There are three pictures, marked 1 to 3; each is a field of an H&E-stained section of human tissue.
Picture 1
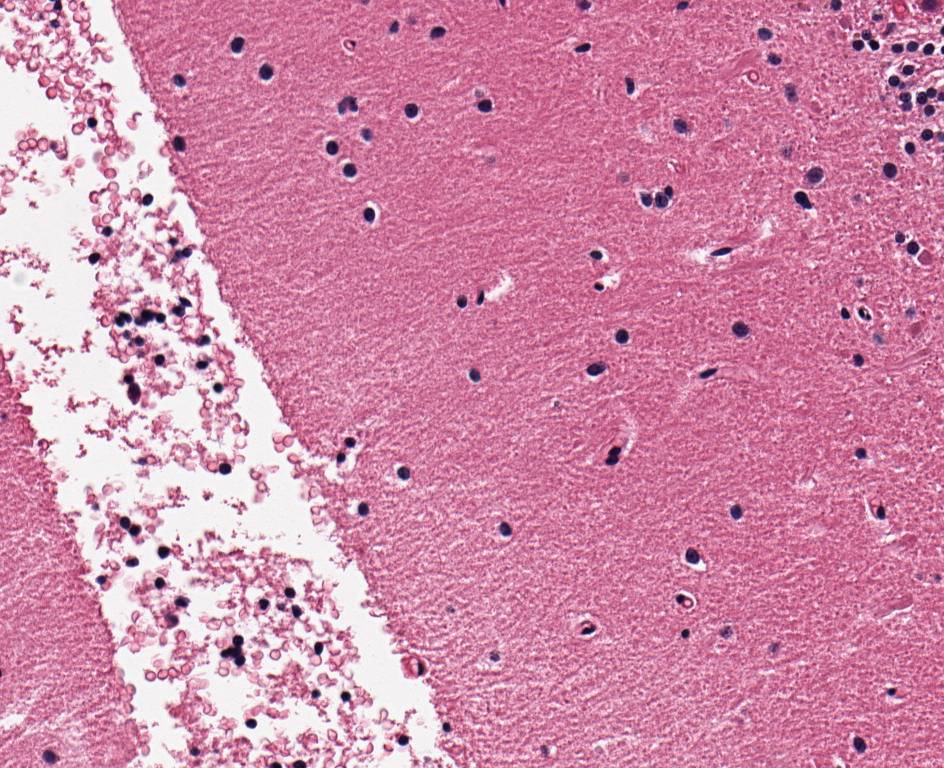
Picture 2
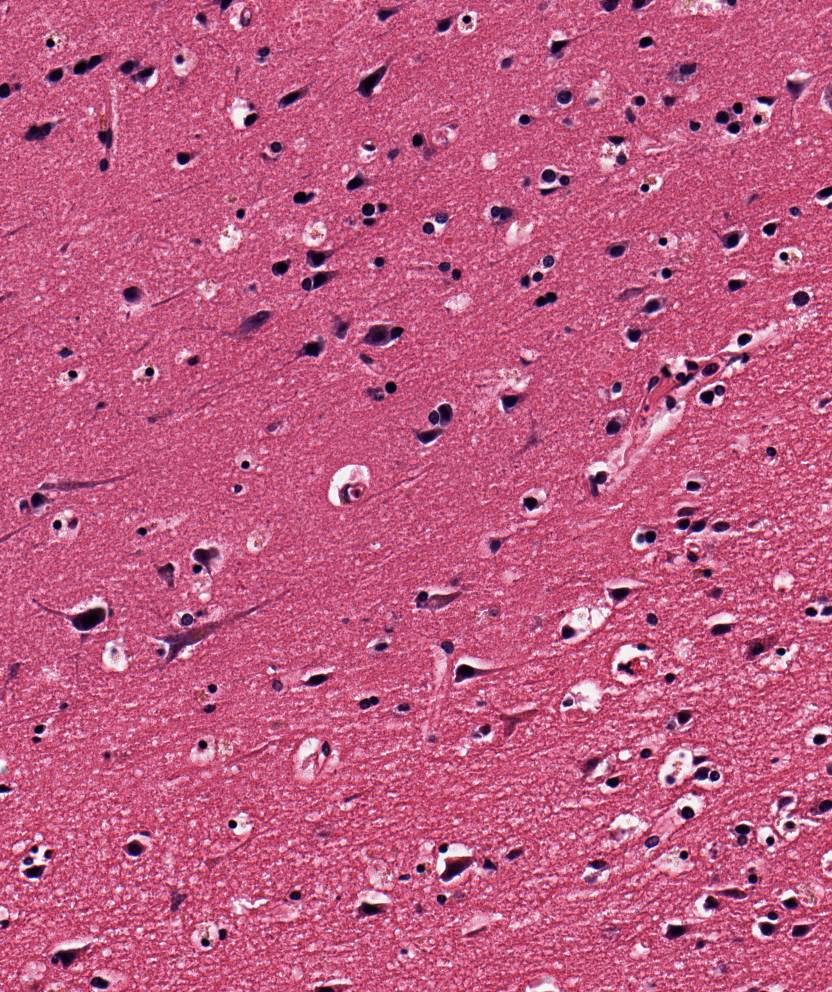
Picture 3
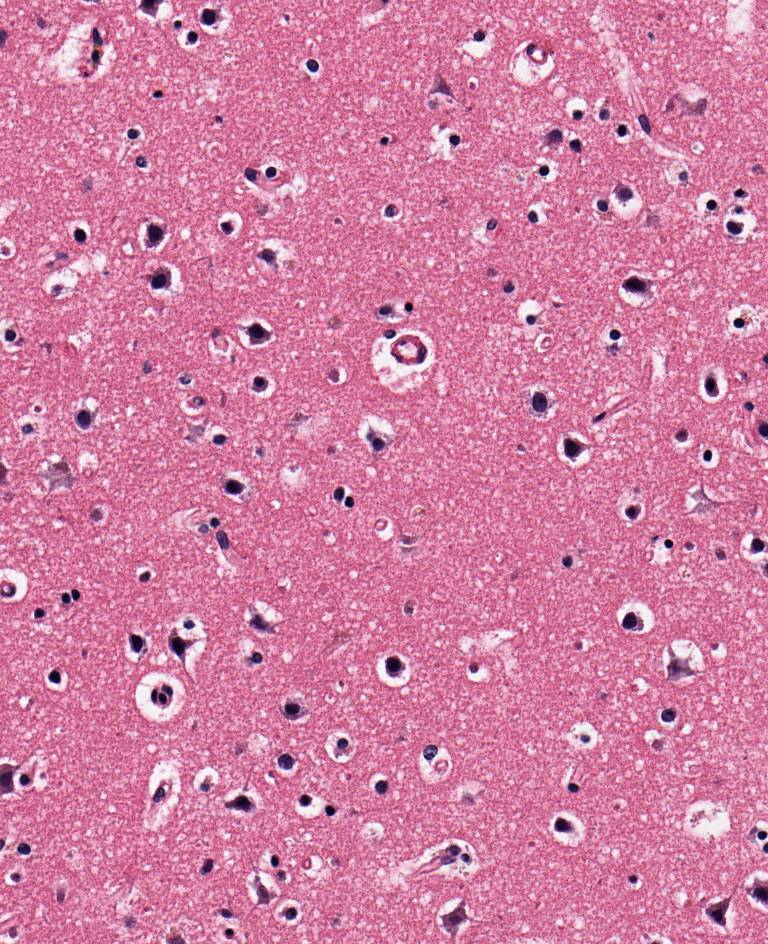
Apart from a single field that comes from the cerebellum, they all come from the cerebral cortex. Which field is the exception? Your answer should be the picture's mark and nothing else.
1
